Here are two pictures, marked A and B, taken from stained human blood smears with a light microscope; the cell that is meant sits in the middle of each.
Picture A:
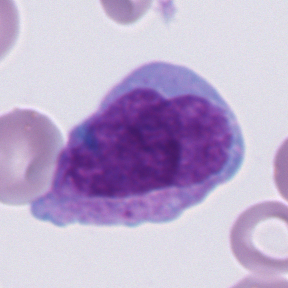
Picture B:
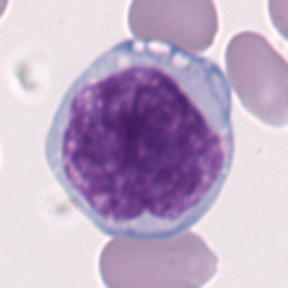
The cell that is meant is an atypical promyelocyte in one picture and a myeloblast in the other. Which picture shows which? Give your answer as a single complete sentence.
The cell in picture A is an atypical promyelocyte, and the one in picture B is a myeloblast.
